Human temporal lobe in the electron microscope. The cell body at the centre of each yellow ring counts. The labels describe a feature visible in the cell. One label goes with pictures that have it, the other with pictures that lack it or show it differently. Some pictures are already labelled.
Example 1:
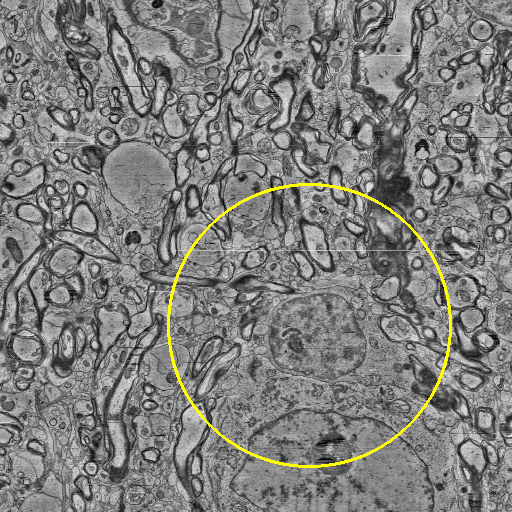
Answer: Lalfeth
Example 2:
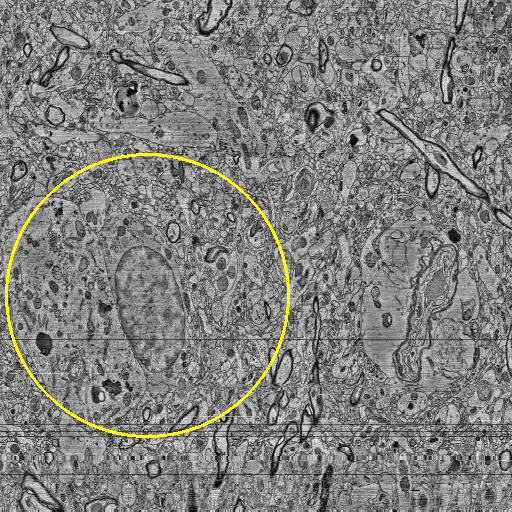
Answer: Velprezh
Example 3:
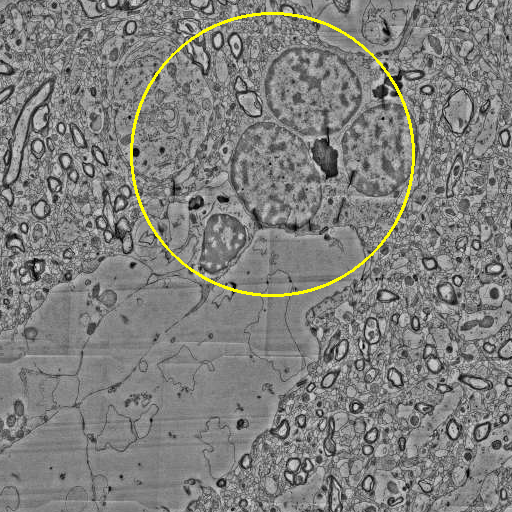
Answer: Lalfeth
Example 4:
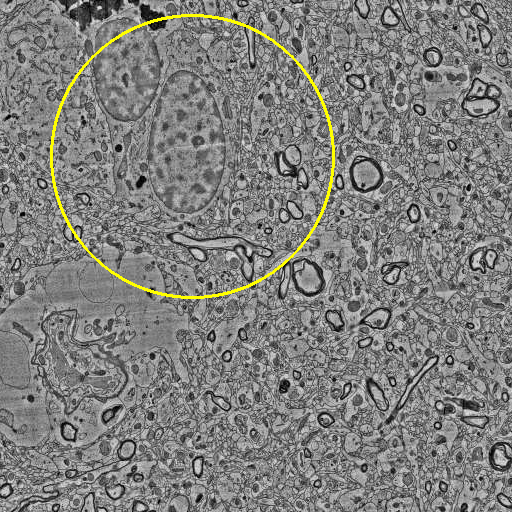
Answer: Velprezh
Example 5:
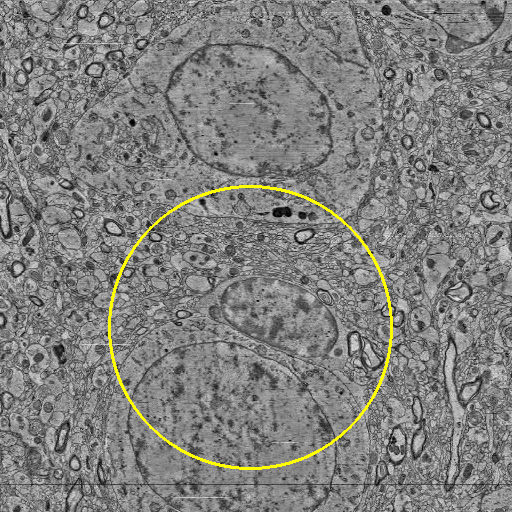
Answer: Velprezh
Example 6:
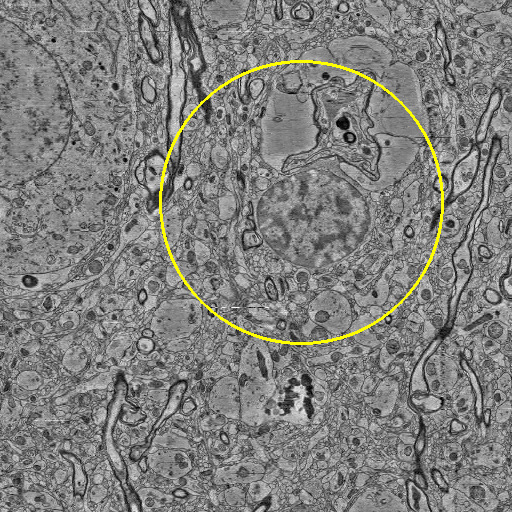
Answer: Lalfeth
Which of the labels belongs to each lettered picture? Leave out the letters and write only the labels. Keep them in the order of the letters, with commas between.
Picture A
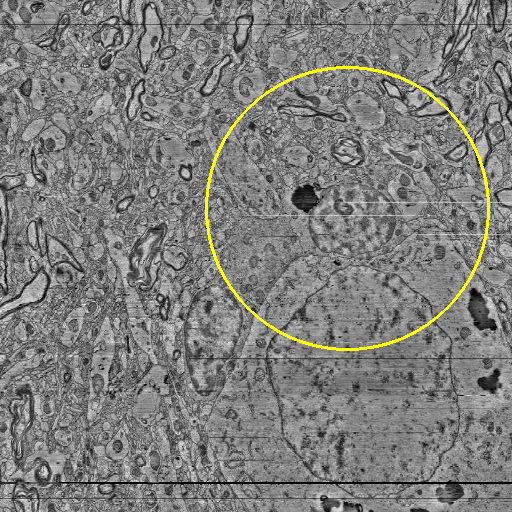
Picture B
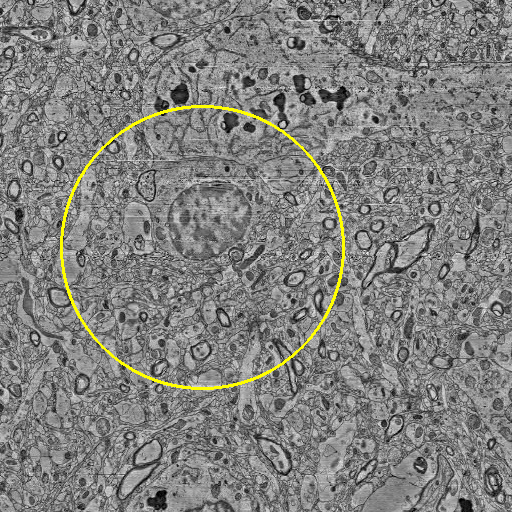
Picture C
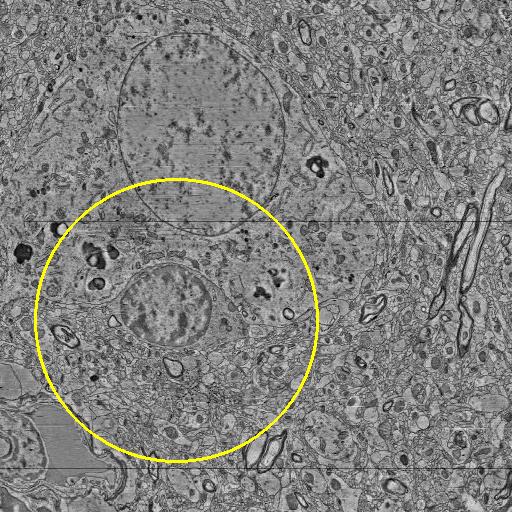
Lalfeth, Lalfeth, Lalfeth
